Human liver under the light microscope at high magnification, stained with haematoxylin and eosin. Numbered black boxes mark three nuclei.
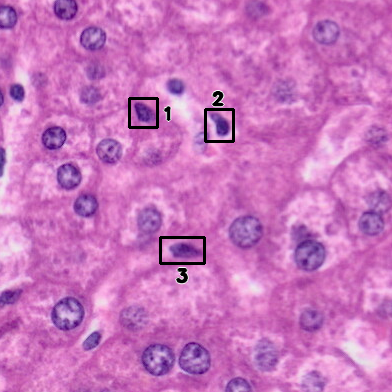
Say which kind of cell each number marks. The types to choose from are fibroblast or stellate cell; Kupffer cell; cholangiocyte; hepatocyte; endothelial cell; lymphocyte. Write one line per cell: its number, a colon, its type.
1: fibroblast or stellate cell
2: lymphocyte
3: endothelial cell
